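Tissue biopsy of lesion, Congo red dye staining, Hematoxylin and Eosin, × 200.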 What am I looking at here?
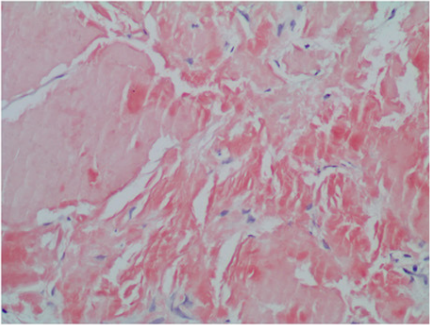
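Narrow pale clefts and thin strands of looser connective tissue run between the masses and split them into irregular blocks. Cells are sparse: a few small, dark blue, elongated or oval nuclei, likely of stromal cells, lie in the clefts and at the edges of the deposits. No surface lining or glands are seen. The normal tissue architecture is largely replaced by this amorphous material.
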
